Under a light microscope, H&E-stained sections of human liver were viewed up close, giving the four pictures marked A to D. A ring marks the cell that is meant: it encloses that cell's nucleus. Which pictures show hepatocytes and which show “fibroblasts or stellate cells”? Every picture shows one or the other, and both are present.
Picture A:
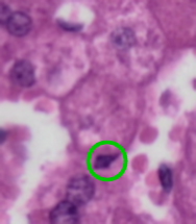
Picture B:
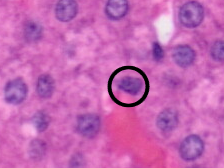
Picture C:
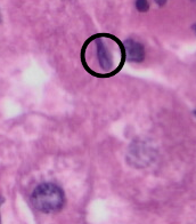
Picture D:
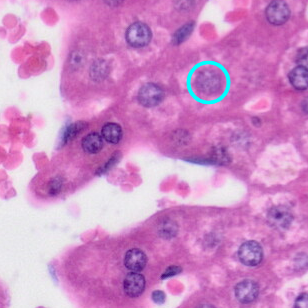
A: fibroblast or stellate cell
B: fibroblast or stellate cell
C: fibroblast or stellate cell
D: hepatocyte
